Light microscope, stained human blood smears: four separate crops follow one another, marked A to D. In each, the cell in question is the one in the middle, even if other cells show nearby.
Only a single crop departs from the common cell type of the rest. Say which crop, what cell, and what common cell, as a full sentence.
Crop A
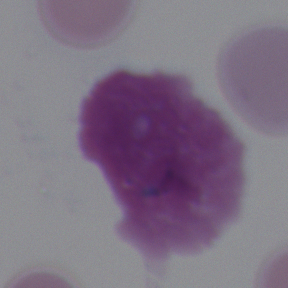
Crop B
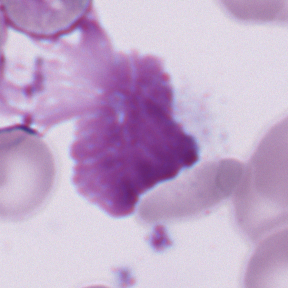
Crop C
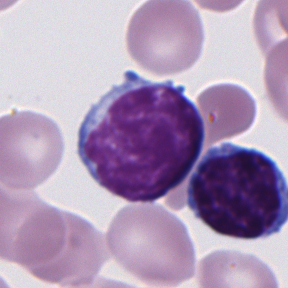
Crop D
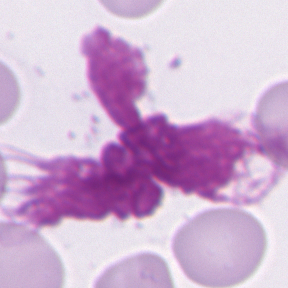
Where the others show smudge cells, crop C shows a typical lymphocyte.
